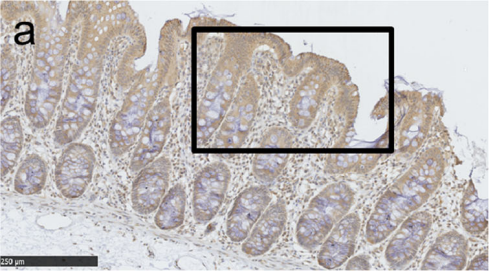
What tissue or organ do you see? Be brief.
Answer: Mucosa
